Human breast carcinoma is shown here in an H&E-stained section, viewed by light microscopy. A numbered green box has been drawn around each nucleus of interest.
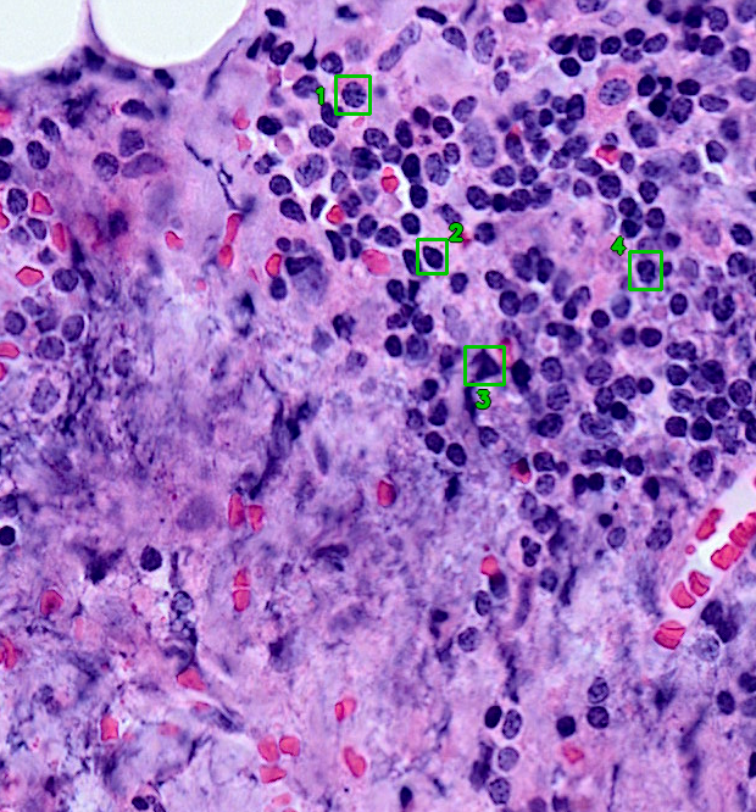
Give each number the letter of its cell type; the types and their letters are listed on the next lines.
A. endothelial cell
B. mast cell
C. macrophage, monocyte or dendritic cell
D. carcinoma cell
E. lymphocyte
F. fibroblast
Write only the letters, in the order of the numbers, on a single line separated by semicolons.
B; E; E; E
